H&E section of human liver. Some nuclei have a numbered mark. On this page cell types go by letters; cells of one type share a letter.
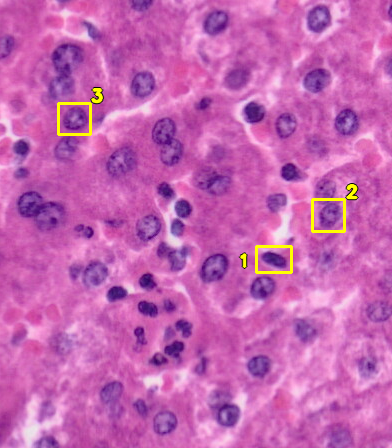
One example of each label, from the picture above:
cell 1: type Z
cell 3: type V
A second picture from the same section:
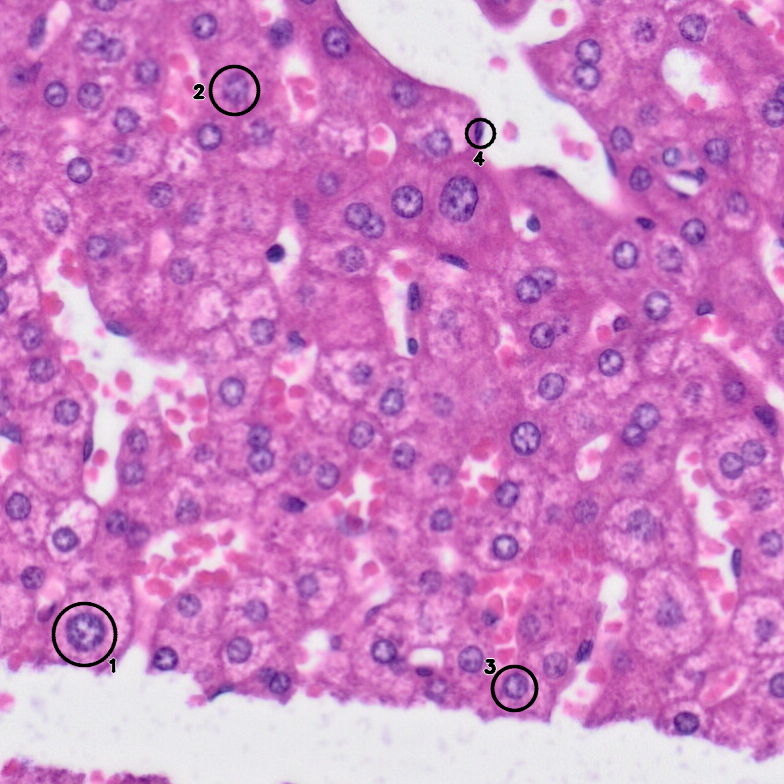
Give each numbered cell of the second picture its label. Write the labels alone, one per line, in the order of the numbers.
type V
type V
type V
type Z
